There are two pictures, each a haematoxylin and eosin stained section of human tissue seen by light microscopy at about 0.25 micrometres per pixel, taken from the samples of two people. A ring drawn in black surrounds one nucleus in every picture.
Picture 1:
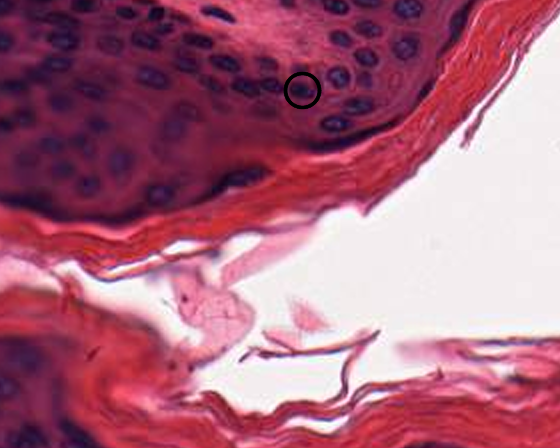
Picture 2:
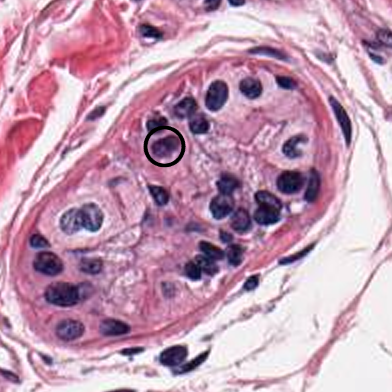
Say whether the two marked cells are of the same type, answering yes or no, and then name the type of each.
No, the first is a keratinocyte and the second a sweat gland cell.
